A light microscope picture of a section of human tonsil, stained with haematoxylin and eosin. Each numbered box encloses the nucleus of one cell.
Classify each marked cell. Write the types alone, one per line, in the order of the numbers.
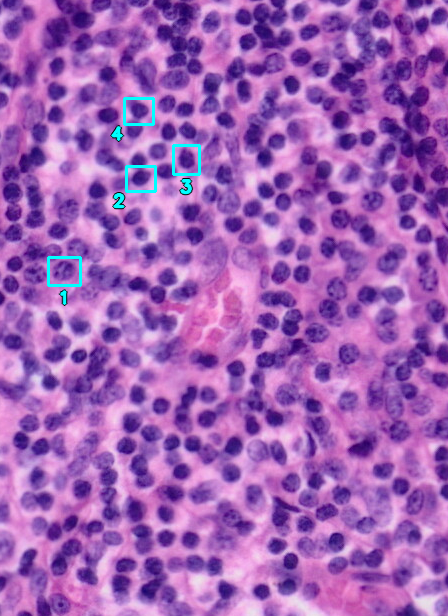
plasma cell
small lymphocyte
small lymphocyte
small lymphocyte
